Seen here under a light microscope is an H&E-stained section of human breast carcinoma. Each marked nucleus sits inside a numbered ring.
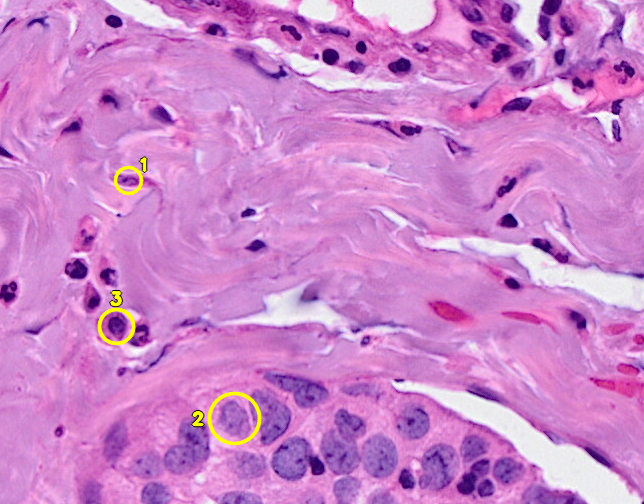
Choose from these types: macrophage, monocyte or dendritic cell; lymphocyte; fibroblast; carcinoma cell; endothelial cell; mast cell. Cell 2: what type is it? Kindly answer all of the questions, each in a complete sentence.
Belonging to a carcinoma cell is the nucleus that carries the number 2.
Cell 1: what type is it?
Cell number 1 in this section is a fibroblast.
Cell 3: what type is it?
The cell bearing label 3 corresponds to a mast cell.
